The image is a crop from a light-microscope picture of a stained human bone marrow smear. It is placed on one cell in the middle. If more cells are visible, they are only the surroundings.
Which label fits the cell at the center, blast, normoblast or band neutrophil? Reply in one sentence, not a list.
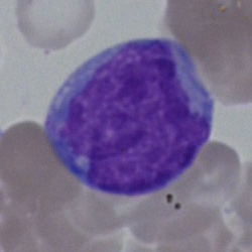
Positioned in the middle of the crop is a blast.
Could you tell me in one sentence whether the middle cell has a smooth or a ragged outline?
Edge check done: smooth outline, no projections present.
